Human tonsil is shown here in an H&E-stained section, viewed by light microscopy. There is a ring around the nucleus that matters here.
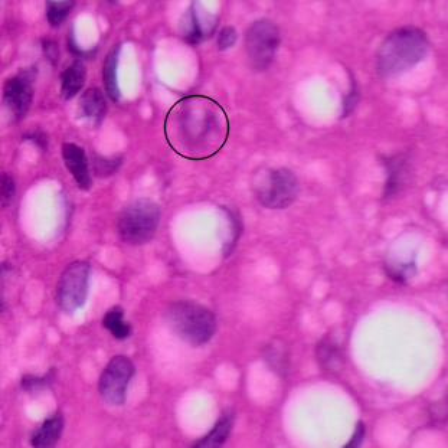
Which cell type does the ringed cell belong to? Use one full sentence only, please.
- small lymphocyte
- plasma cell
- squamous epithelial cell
The identity of the ringed cell: it is a squamous epithelial cell.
